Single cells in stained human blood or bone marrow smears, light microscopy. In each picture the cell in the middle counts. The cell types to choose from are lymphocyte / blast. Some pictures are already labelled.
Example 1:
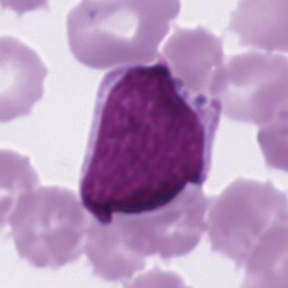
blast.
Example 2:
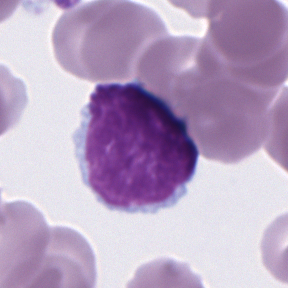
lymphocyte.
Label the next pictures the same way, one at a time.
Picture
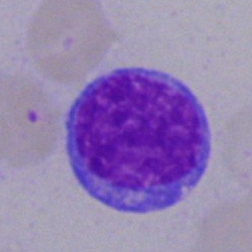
blast.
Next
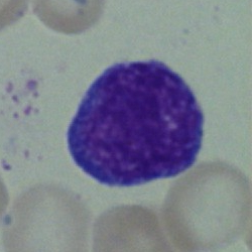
blast.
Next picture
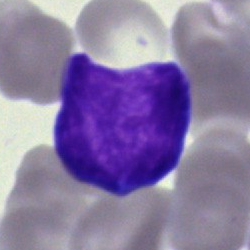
blast.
